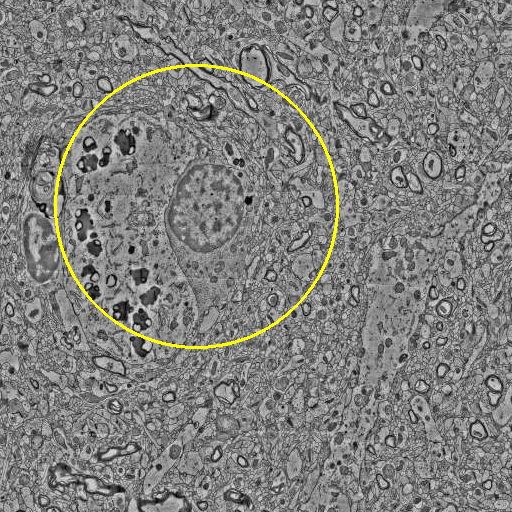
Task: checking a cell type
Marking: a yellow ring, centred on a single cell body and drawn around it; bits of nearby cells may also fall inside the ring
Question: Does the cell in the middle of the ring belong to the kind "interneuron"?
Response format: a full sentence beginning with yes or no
No, the cell marked at the ring's centre in the picture is of a different kind.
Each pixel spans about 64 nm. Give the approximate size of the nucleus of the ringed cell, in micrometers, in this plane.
The ringed cell's nucleus is about 5 micrometres across in this plane.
